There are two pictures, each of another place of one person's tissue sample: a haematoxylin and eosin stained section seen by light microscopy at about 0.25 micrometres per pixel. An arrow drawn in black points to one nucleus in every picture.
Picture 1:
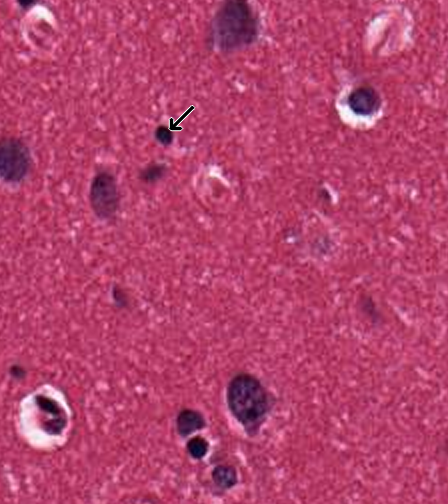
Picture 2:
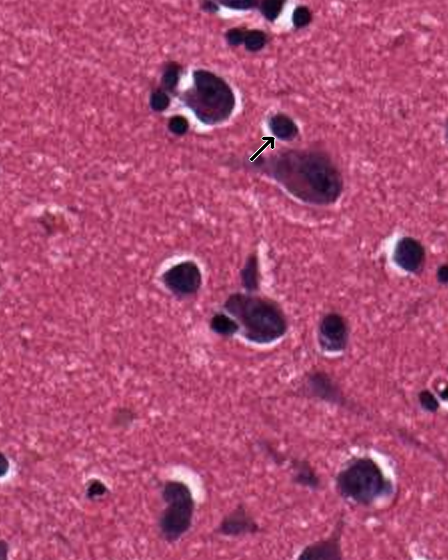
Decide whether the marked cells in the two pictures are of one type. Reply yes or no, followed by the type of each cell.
Yes, both are oligodendrocytes.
